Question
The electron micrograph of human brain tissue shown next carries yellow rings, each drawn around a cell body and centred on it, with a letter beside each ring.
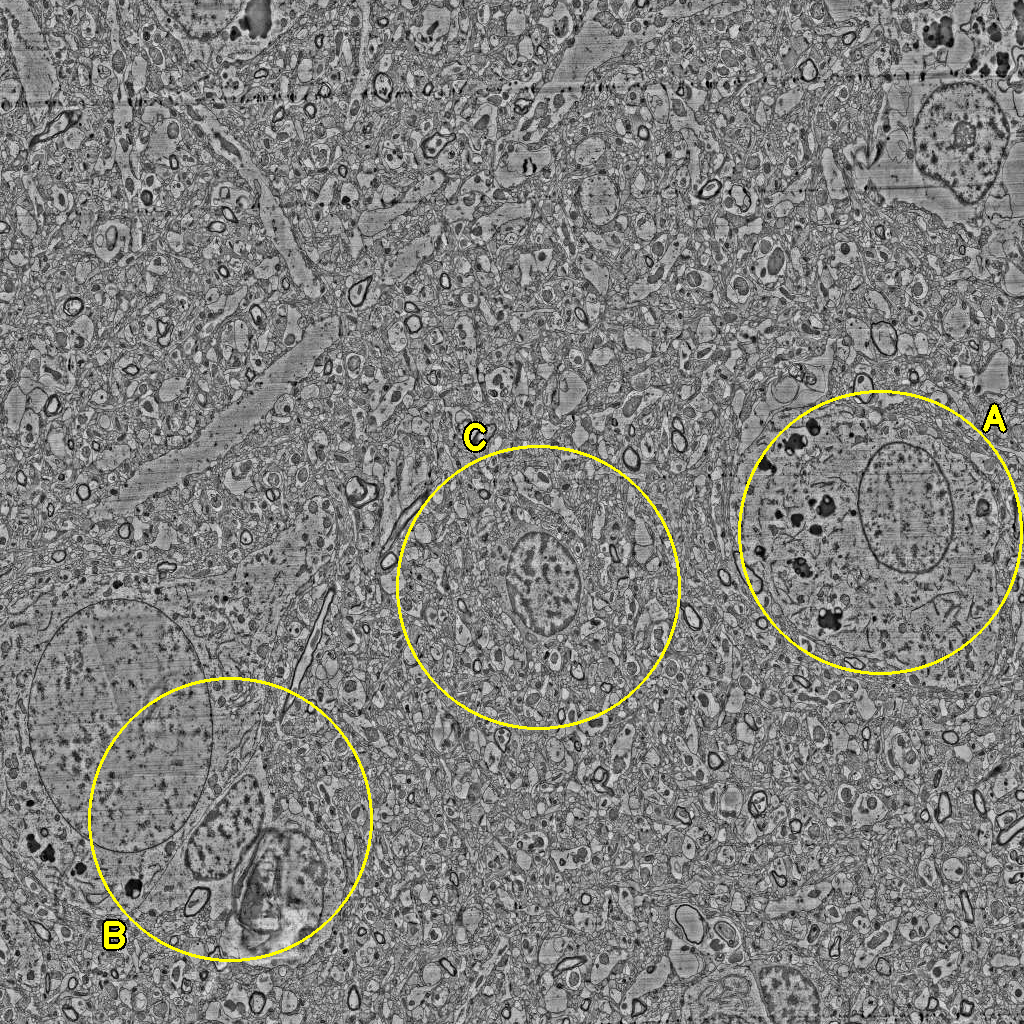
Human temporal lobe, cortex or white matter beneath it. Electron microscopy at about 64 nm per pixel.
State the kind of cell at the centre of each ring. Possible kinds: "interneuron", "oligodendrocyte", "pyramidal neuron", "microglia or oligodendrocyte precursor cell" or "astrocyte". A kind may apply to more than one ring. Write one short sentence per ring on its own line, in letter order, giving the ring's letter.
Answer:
The cell centred in ring A is a pyramidal neuron.
The cell centred in ring B is a microglial cell or oligodendrocyte precursor cell.
The cell centred in ring C is an oligodendrocyte.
